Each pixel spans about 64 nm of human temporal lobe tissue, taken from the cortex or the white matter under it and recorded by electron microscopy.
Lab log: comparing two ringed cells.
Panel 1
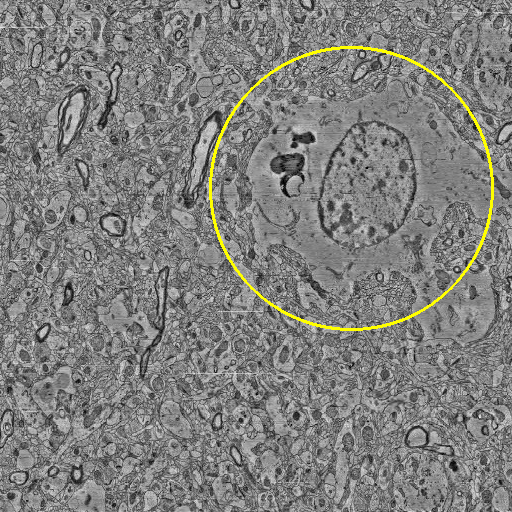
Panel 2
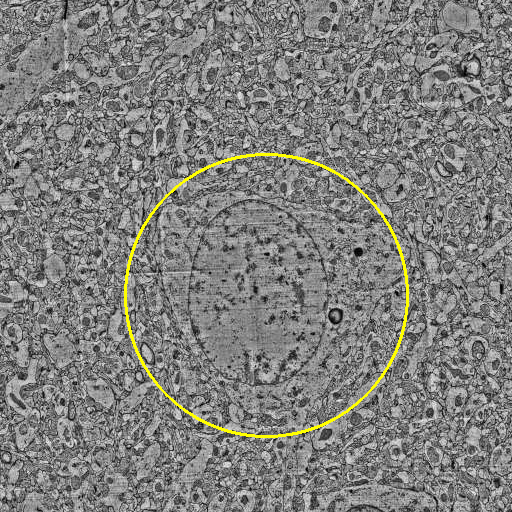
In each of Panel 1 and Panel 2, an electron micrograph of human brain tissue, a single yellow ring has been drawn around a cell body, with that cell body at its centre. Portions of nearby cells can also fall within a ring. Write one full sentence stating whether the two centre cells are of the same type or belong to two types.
The cells at the ring centres in Panel 1 and Panel 2 belong to two types.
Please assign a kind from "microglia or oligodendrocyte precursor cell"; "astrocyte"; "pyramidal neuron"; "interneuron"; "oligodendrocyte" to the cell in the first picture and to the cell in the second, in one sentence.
In the first picture we have an astrocyte, and in the second, a pyramidal neuron.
